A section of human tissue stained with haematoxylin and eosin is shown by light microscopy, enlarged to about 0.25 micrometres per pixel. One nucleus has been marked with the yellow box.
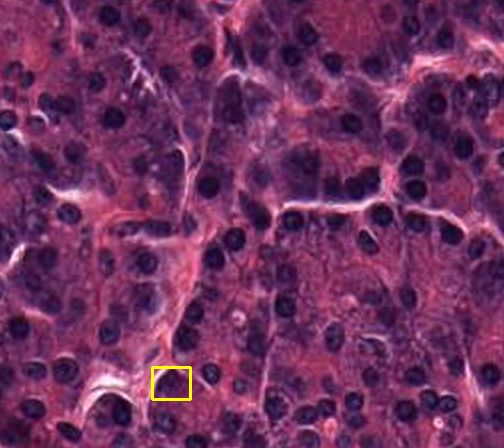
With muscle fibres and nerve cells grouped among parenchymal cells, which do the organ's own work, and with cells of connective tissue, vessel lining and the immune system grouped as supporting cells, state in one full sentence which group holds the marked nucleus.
In this picture the marked nucleus belongs to a pancreatic acinar cell, a parenchymal cell.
